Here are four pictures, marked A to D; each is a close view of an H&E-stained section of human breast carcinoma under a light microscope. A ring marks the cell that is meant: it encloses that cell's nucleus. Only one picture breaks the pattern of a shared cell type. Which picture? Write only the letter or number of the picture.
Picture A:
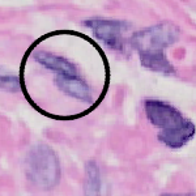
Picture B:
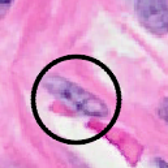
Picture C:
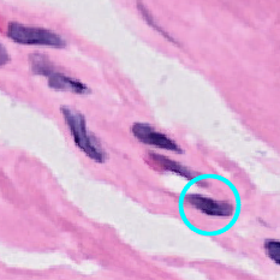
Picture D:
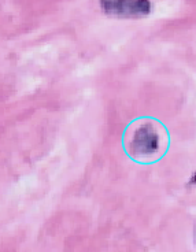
D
